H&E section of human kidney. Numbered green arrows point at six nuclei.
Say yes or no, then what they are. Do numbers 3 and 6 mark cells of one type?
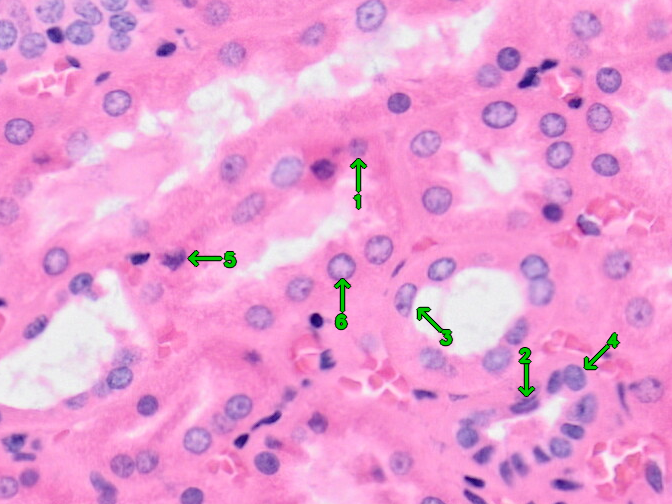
No, the cell numbered 3 is a loop of Henle or distal tubule cell, and the cell numbered 6 is a proximal tubule cell.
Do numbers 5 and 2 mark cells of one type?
No, the correct reading has cell 5 as a proximal tubule cell and cell 2 as a collecting duct cell.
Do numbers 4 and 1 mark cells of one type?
No, a collecting duct cell is what cell 4 is, and a proximal tubule cell is what cell 1 is.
